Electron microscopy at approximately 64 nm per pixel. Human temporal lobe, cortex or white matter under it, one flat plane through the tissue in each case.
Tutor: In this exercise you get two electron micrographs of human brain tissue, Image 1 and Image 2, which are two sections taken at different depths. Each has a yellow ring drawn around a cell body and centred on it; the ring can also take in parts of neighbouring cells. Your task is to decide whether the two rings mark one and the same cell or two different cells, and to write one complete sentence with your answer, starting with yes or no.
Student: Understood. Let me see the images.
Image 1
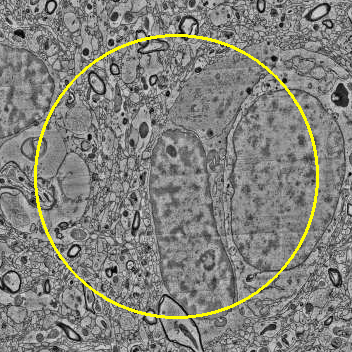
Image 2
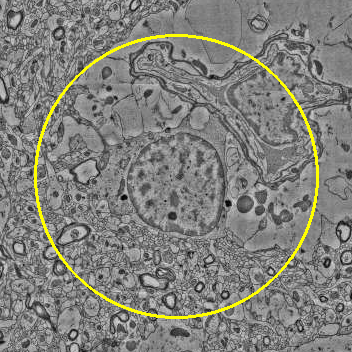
No, the pair of rings marks a pair of different cells.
